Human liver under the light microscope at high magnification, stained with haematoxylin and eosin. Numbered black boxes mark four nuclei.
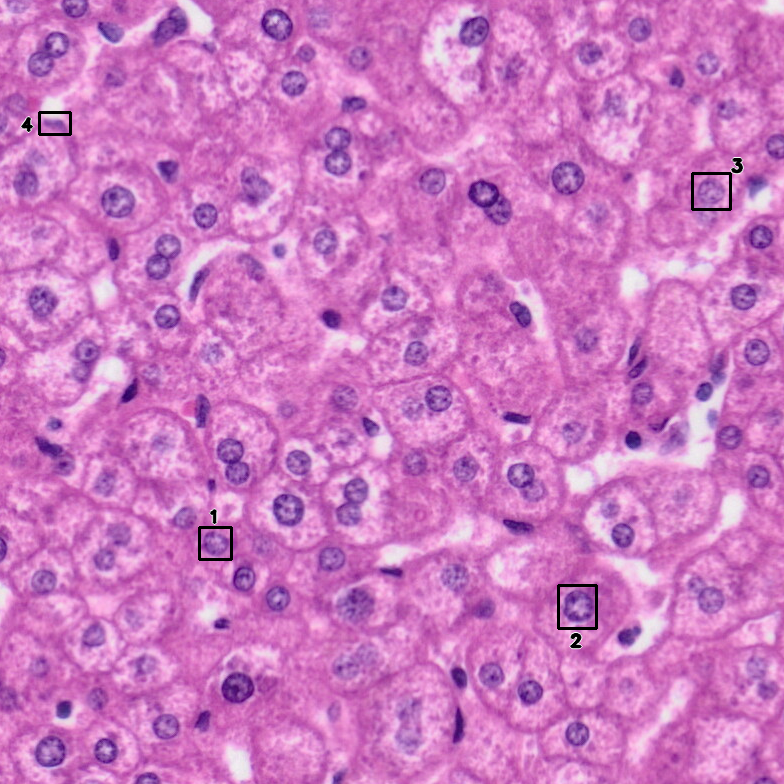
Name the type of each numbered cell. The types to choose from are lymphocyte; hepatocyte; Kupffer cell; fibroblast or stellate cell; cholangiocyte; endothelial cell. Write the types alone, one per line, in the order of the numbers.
hepatocyte
hepatocyte
hepatocyte
endothelial cell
